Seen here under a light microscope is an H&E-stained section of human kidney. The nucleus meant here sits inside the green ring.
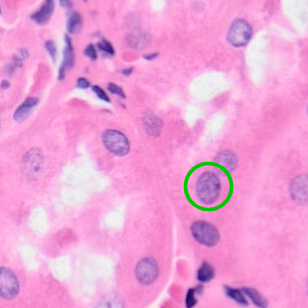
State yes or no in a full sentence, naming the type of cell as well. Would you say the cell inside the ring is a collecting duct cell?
No, not quite: the cell inside the ring is a proximal tubule cell rather than a collecting duct cell.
